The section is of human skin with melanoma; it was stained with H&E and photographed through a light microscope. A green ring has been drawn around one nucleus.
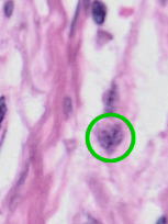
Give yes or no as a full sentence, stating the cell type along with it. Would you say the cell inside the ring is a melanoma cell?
No, sorry, but the cell inside the ring is a macrophage or monocyte and not a melanoma cell.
